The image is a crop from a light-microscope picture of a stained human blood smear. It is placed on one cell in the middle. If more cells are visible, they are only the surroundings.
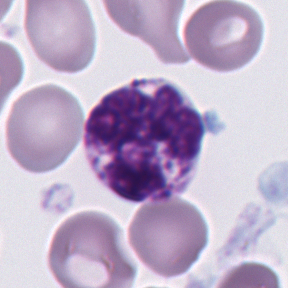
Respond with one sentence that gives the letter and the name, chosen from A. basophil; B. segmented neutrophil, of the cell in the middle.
The centrally positioned cell is a basophil, consistent with option A, which is correct.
